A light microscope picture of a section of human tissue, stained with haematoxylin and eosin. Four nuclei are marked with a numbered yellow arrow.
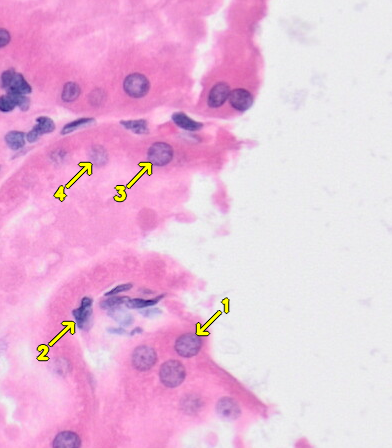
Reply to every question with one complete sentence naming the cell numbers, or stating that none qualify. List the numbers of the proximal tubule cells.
Cells numbered 1, 3 and 4 belong to the group of proximal tubule cells.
